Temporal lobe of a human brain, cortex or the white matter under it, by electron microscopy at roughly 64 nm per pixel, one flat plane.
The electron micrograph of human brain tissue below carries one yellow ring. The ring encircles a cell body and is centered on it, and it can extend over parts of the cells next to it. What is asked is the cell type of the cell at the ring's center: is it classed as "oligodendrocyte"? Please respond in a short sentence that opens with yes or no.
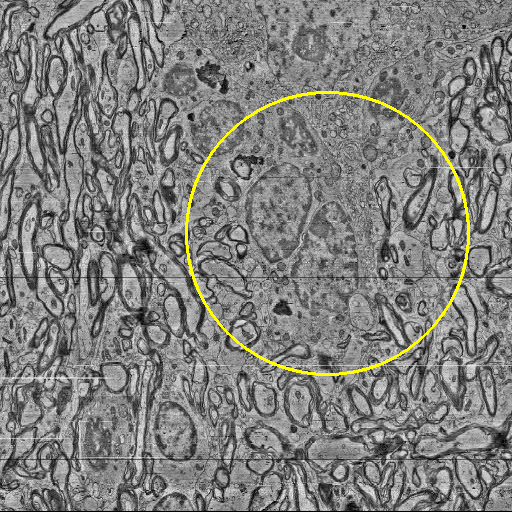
Yes, it is classed that way.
